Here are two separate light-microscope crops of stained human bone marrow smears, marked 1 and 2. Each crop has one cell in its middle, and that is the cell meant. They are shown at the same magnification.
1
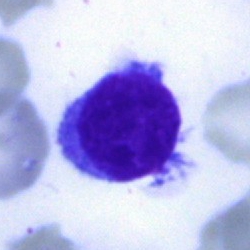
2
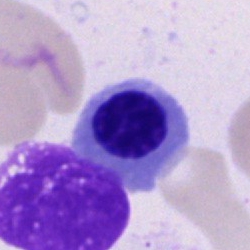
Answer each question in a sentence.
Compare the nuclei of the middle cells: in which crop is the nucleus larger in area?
It is the nucleus in crop 1, about 2.5 times as large in area as the one in crop 2.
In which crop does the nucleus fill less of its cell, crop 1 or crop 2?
It is the cell in crop 2 that is filled less by its nucleus.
